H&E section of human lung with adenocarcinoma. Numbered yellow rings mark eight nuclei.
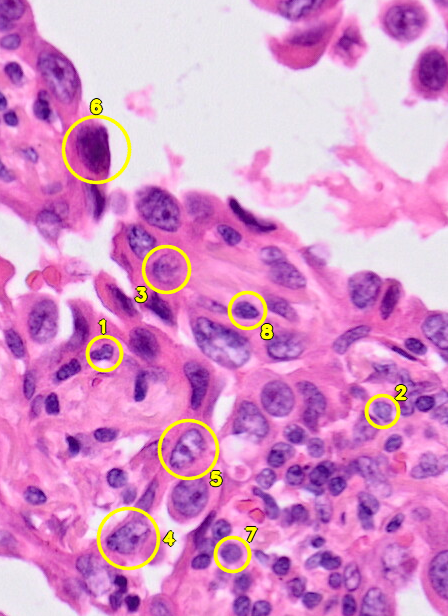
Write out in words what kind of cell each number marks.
Cells 1, 2, 7 and 8 are lymphocytes. Cells 3, 4, 5 and 6 are carcinoma cells.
